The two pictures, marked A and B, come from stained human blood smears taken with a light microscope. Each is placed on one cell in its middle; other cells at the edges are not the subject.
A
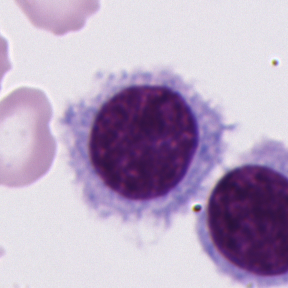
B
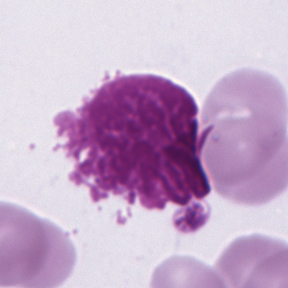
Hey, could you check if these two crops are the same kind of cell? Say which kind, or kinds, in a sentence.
No, as for crop A, it shows a hairy cell, and crop B shows a smudge cell.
